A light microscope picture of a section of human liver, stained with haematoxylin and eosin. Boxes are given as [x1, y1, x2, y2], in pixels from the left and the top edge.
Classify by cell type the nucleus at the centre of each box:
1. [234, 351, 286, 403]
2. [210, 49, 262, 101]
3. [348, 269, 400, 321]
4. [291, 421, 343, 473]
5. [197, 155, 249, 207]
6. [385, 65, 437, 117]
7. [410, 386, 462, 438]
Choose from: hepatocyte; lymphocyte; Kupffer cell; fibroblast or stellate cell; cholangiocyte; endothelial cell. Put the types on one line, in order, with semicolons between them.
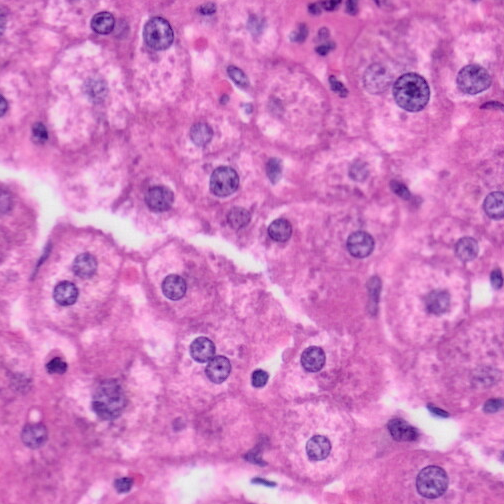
lymphocyte; Kupffer cell; Kupffer cell; hepatocyte; hepatocyte; hepatocyte; endothelial cell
